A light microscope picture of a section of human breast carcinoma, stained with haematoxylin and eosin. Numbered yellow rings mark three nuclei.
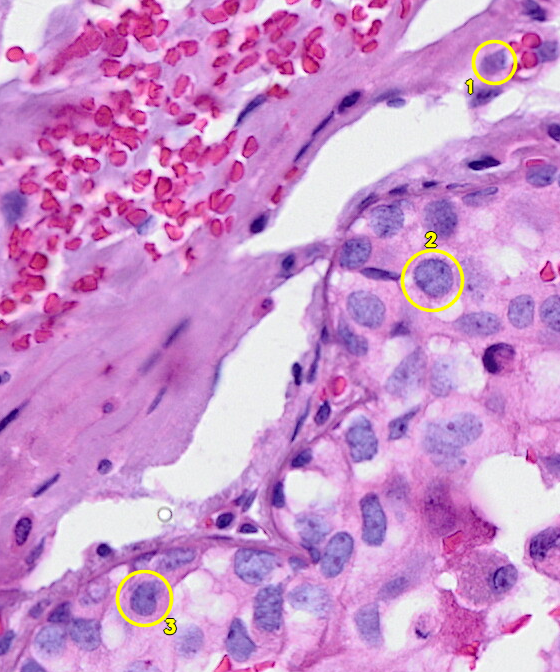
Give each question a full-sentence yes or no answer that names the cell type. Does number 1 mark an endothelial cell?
Yes, and to answer plainly, cell 1 is an endothelial cell.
